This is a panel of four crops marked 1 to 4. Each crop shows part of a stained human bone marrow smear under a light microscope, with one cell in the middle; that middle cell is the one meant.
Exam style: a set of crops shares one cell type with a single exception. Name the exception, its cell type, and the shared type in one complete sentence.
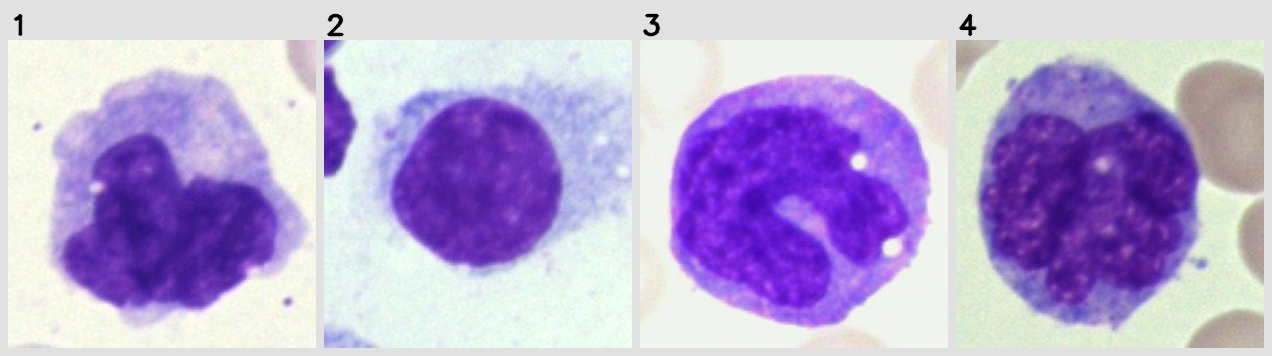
All of the other crops show monocytes, while crop 2 shows a hairy cell instead.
